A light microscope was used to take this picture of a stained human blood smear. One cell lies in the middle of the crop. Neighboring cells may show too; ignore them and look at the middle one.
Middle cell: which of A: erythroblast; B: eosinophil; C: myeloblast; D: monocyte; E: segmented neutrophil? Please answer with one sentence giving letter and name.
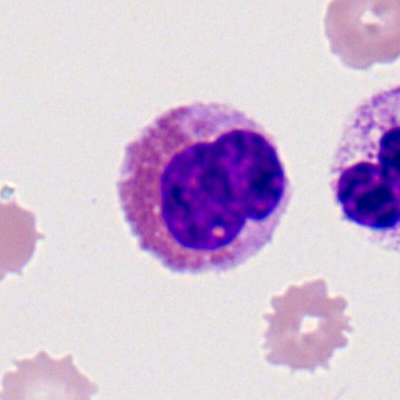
Option B gets it right: the cell in the middle is an eosinophil.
